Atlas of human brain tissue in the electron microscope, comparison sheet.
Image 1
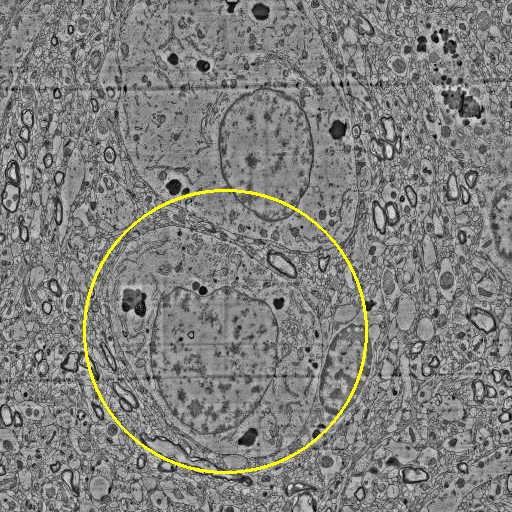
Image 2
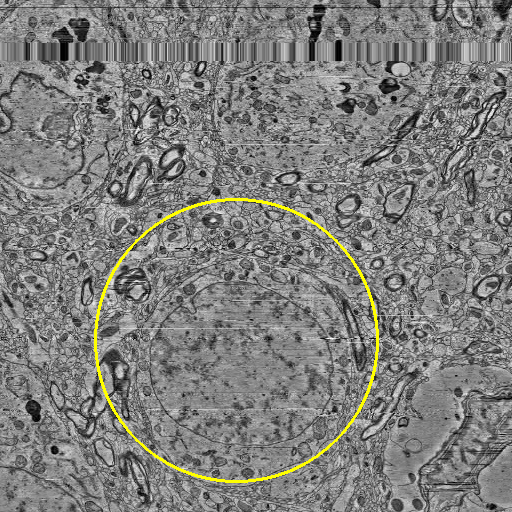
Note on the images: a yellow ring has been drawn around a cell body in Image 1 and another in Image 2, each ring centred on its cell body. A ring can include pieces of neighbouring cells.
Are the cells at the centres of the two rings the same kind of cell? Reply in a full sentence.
Yes, both cells are of the same kind.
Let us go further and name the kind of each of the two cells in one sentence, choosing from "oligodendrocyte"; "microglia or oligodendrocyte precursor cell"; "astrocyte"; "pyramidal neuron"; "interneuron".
In each of the two pictures, the ringed cell is a pyramidal neuron.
